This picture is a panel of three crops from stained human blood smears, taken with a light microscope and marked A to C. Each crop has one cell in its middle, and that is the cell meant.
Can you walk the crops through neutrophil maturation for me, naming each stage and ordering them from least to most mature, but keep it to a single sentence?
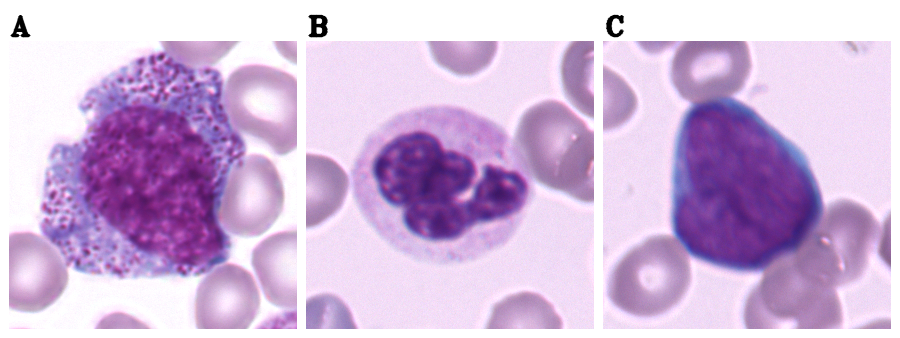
The correct order, least to most mature, is crop C (a myeloblast), crop A (a promyelocyte) and crop B (a segmented neutrophil).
